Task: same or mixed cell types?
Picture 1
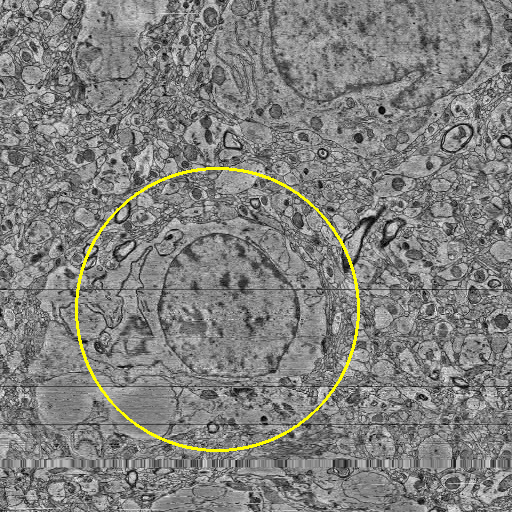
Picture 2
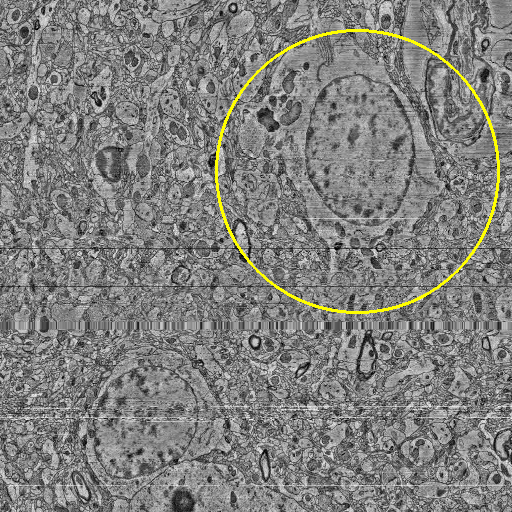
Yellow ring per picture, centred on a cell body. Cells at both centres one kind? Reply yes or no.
yes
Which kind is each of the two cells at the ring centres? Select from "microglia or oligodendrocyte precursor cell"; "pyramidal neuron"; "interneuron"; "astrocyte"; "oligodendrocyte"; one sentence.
Each of the ringed cells, first and second, is an astrocyte.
